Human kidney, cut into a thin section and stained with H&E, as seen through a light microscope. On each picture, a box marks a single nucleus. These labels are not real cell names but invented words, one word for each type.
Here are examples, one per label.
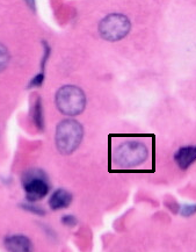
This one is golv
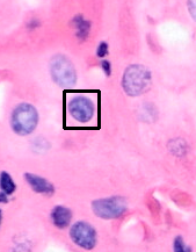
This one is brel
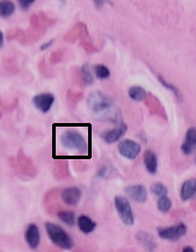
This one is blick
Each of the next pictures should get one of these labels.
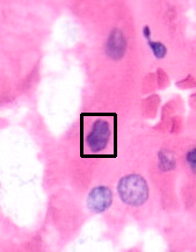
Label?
golv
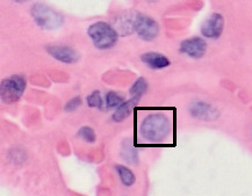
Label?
brel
